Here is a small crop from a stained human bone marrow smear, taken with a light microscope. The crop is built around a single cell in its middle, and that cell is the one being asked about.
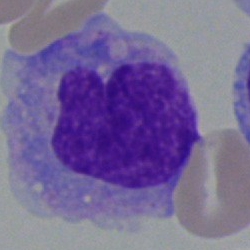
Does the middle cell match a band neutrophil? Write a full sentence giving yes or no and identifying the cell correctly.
No, rather than being a band neutrophil, the central cell is a monocyte.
